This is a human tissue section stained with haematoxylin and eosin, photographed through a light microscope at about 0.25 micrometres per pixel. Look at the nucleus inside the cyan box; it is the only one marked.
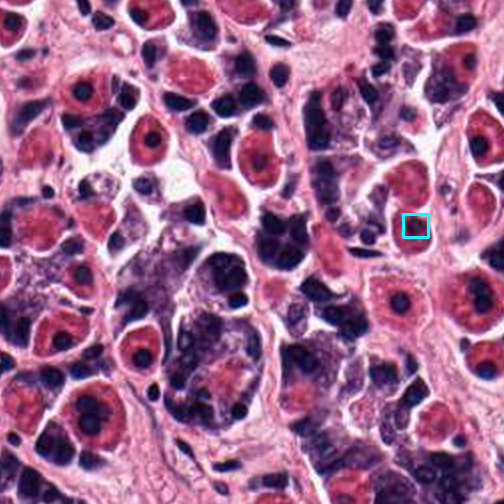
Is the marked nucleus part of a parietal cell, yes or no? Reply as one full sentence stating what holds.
Yes, the marked nucleus represents the nucleus of a parietal cell.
